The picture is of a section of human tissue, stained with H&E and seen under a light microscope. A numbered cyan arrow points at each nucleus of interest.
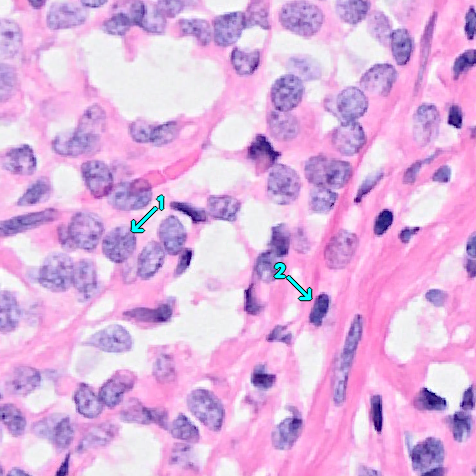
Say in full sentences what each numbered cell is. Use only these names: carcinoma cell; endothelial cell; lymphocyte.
Cell 1 is a carcinoma cell and cell 2 is a lymphocyte.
